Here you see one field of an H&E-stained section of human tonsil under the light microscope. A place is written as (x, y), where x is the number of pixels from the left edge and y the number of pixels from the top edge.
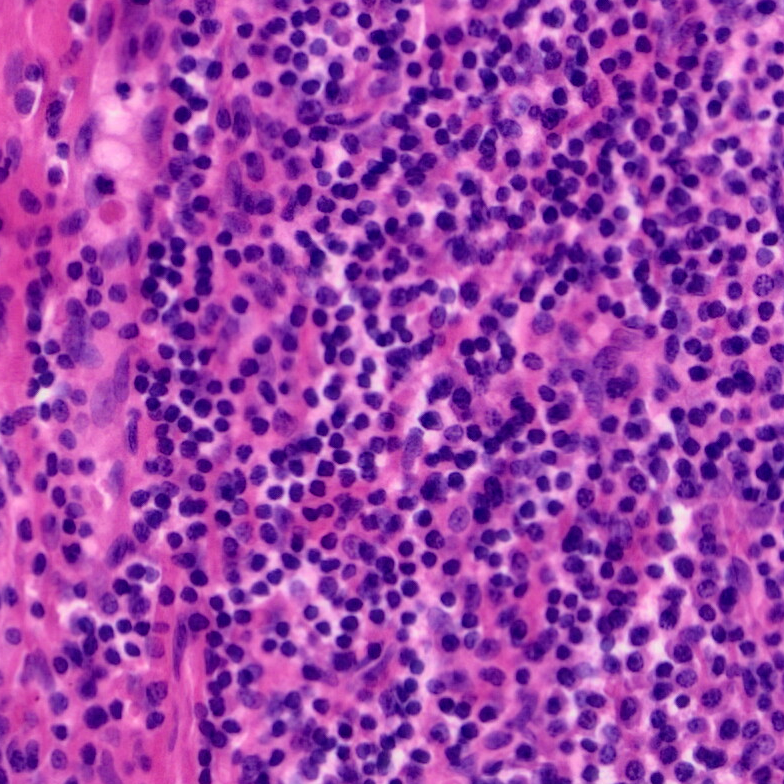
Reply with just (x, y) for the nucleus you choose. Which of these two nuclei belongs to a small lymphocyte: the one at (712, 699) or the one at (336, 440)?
(336, 440)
